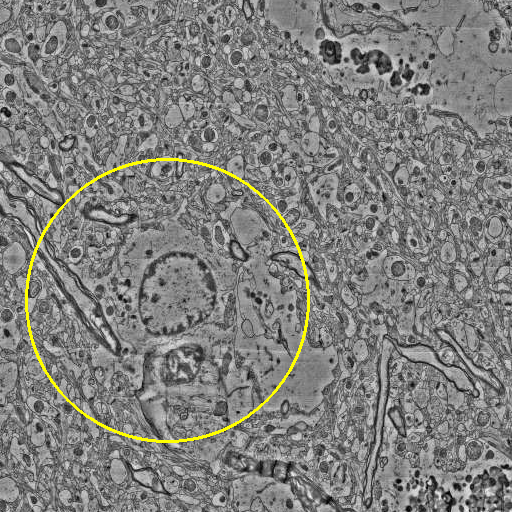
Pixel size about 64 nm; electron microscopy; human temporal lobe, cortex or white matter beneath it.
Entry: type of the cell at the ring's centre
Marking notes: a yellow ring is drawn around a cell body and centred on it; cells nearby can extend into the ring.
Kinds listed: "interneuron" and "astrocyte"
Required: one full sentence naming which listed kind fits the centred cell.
My entry names an astrocyte as the cell whose body the yellow ring centres on.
